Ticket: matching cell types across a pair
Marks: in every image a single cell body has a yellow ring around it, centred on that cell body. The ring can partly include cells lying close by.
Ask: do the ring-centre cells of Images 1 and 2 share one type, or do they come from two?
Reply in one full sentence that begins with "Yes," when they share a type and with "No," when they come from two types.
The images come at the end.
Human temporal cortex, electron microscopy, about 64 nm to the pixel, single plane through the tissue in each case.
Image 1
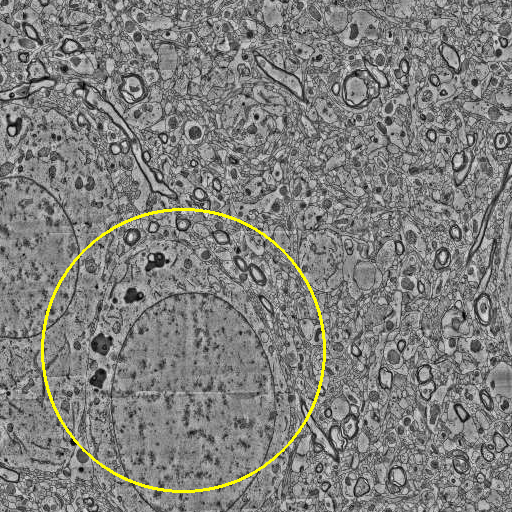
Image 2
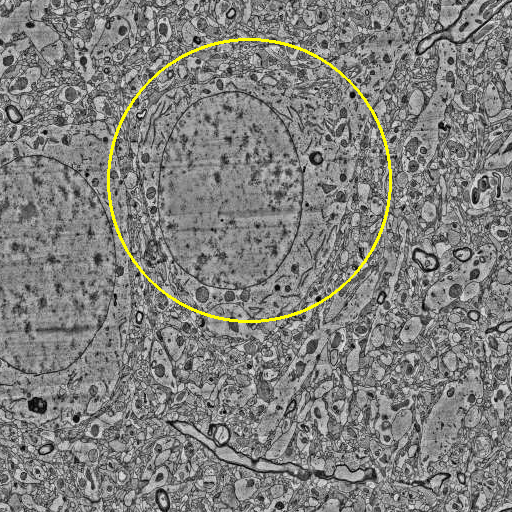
Yes, the cells in the centres of the rings in Image 1 and Image 2 share one type.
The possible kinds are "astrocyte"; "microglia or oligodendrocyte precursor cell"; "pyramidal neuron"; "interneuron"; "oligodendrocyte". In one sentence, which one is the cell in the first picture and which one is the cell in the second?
Each cell at the centre of a ring is a pyramidal neuron.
